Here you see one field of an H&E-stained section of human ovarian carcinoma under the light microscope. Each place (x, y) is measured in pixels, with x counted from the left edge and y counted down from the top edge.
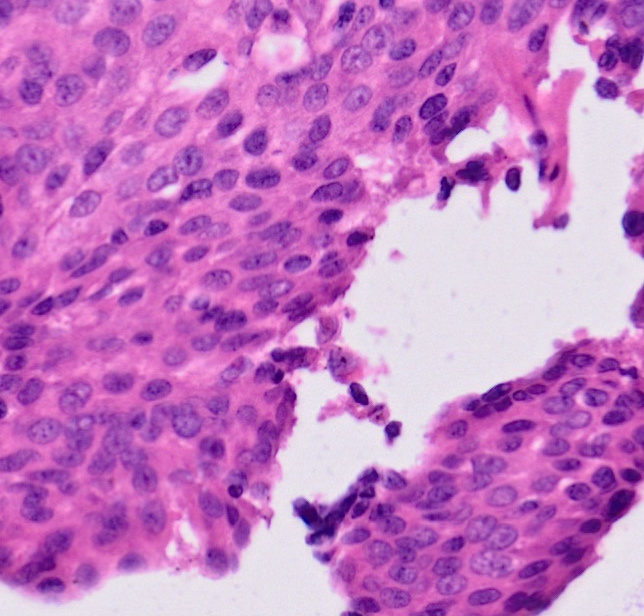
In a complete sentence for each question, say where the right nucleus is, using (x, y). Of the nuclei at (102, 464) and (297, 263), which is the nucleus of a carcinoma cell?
The nucleus at (102, 464) is assigned to a carcinoma cell.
